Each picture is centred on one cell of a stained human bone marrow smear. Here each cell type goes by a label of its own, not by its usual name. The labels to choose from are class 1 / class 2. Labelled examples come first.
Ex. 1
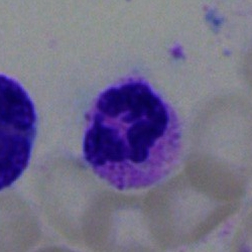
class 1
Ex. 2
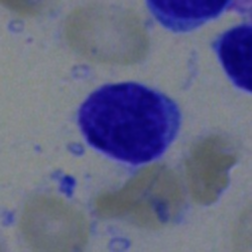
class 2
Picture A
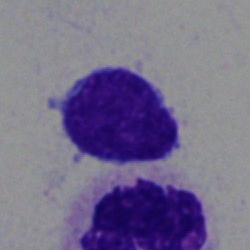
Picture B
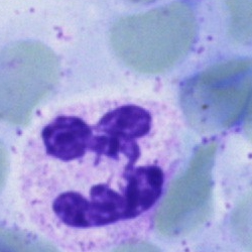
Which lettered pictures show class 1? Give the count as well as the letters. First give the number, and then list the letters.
Count: 1 (B)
